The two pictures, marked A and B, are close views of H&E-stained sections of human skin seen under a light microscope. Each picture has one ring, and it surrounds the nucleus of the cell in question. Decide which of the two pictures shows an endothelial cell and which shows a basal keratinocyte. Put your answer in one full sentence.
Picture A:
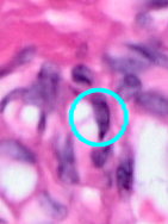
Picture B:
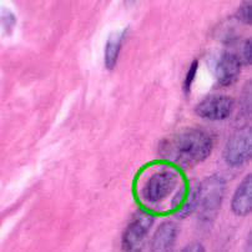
Picture A shows an endothelial cell and picture B shows a basal keratinocyte.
